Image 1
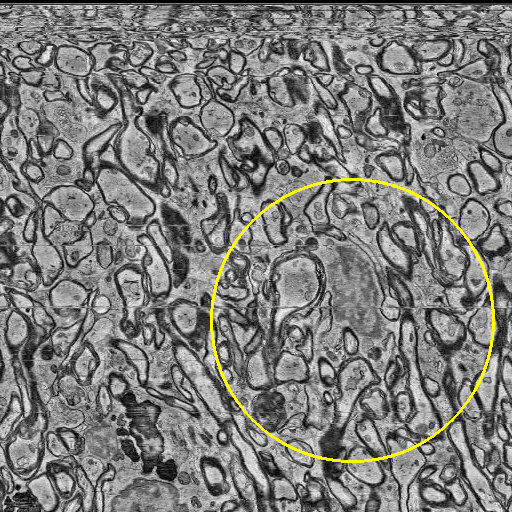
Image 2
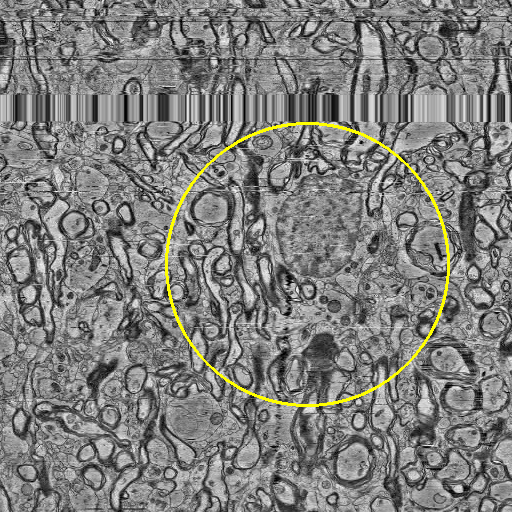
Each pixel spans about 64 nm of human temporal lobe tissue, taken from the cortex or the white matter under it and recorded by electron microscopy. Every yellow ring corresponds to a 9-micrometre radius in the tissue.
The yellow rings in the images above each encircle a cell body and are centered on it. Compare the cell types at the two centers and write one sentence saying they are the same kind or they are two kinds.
Taken together, the two cells at the ring centers are the same kind.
